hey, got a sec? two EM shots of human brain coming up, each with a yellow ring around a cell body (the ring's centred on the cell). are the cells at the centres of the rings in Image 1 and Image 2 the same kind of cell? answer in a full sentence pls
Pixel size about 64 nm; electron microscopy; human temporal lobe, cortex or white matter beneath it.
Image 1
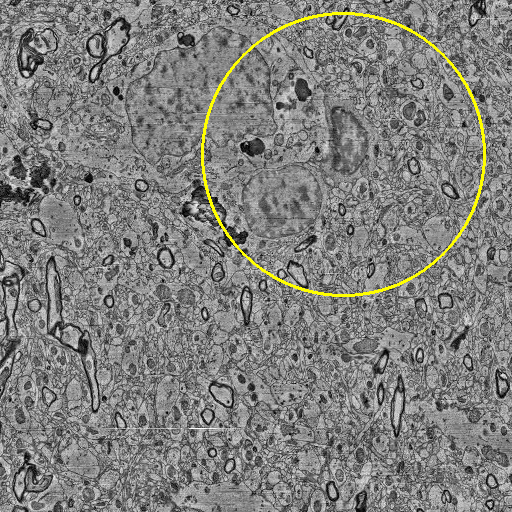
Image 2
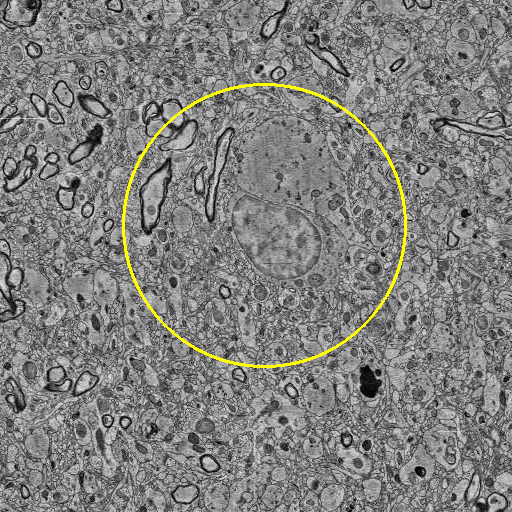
Yes, both are the same kind of cell.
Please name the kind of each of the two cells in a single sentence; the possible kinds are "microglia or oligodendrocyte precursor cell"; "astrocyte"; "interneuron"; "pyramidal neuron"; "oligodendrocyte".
Both cells are the same kind, each one being an oligodendrocyte.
